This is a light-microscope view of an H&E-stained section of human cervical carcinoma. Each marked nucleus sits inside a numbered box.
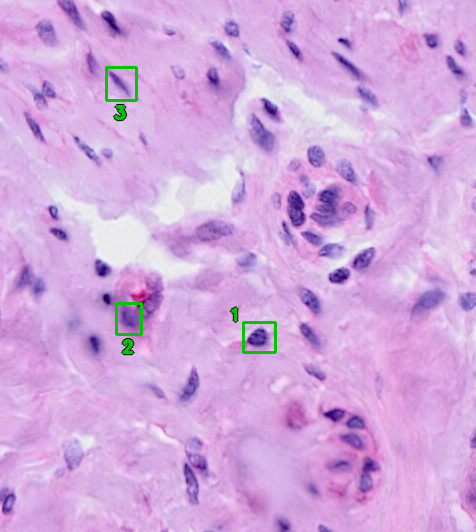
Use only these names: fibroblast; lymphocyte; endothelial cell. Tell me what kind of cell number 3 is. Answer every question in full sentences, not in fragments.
The cell marked with number 3 is a fibroblast.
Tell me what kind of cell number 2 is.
The cell indicated with the number 2 is classed as an endothelial cell.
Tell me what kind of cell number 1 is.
Recognised here as a lymphocyte is the cell numbered 1.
